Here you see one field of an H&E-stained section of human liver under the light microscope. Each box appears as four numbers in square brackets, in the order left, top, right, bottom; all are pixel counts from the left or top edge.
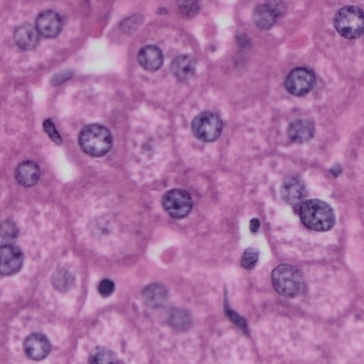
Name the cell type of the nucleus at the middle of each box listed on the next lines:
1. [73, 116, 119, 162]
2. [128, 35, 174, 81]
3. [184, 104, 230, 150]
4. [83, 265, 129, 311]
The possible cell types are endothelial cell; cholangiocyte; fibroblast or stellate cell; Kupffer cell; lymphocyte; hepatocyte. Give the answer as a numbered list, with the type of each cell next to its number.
1. hepatocyte
2. hepatocyte
3. hepatocyte
4. lymphocyte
